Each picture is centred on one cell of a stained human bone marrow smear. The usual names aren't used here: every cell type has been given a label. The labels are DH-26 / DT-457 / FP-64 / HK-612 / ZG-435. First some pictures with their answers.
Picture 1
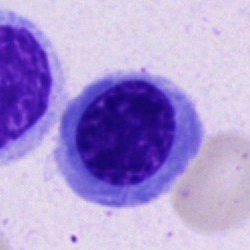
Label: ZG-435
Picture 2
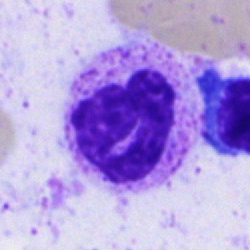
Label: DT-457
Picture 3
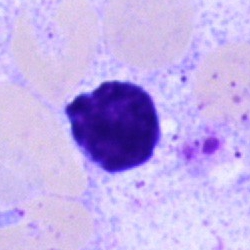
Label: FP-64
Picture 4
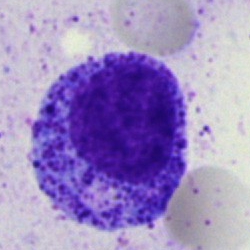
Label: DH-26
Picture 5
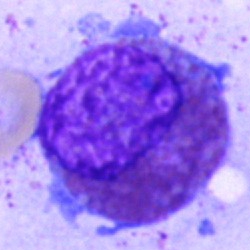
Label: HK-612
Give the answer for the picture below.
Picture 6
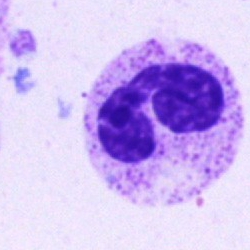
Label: DT-457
